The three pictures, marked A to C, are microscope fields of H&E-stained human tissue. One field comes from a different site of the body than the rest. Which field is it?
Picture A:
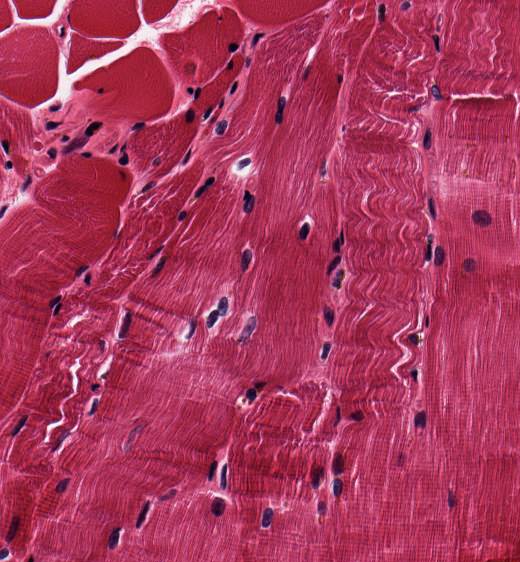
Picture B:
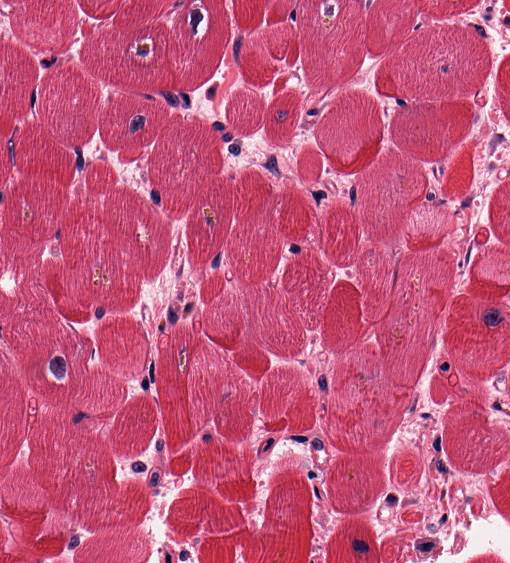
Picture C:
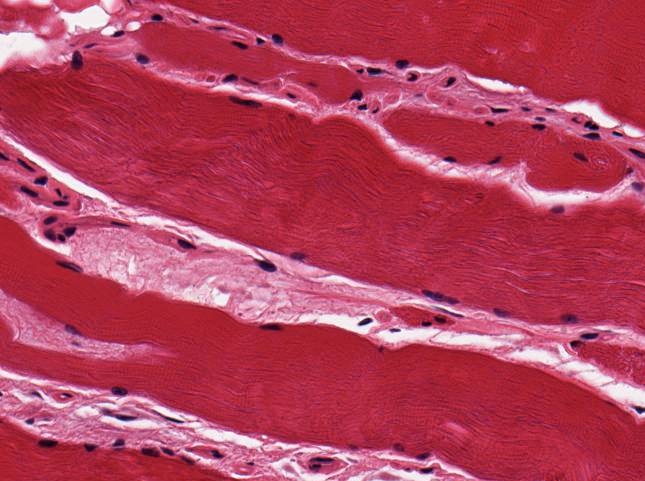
B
